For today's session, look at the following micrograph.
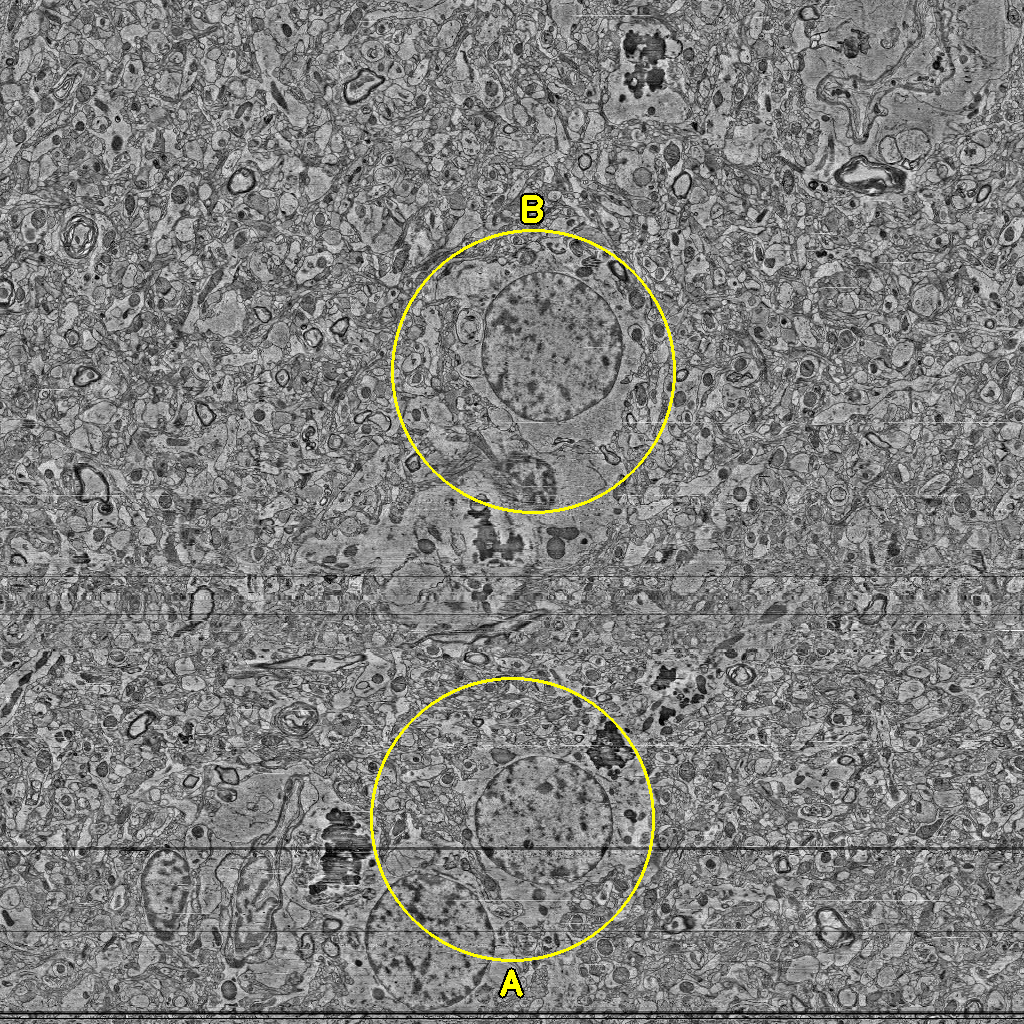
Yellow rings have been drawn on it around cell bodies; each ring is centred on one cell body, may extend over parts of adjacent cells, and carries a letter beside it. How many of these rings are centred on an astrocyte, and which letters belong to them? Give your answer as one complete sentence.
Rings bearing the letters A and B total two, and each one is centred on an astrocyte.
